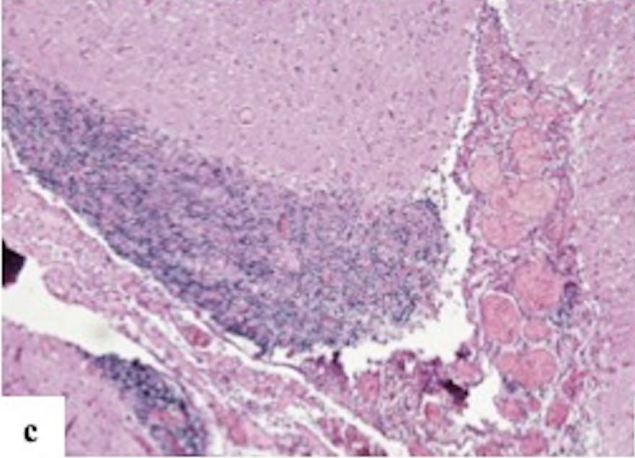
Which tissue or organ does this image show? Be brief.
Brain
